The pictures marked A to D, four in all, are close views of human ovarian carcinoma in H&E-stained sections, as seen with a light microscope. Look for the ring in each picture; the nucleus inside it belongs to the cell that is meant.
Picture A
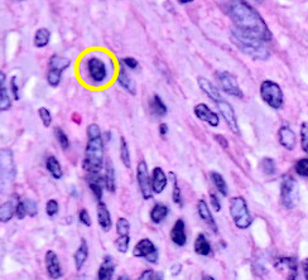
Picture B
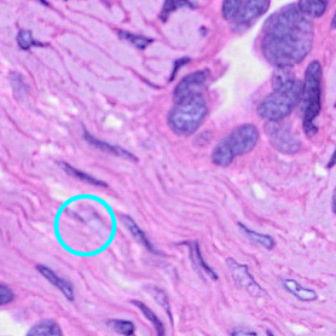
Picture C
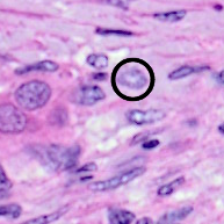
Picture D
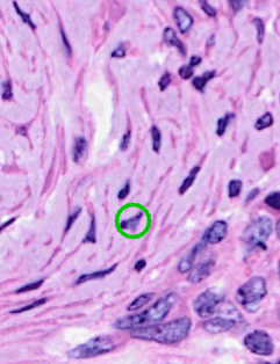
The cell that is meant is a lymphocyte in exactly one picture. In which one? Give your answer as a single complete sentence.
Picture A shows the lymphocyte.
